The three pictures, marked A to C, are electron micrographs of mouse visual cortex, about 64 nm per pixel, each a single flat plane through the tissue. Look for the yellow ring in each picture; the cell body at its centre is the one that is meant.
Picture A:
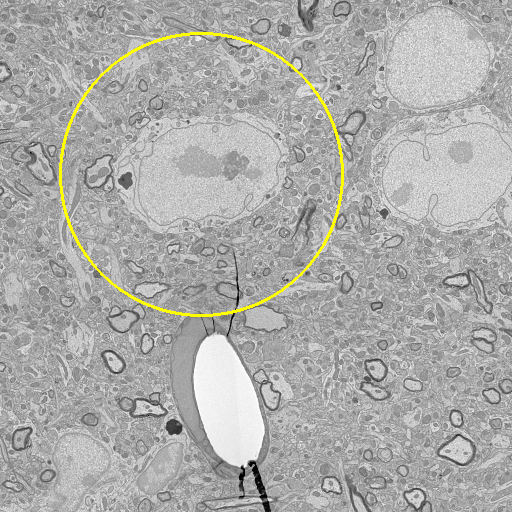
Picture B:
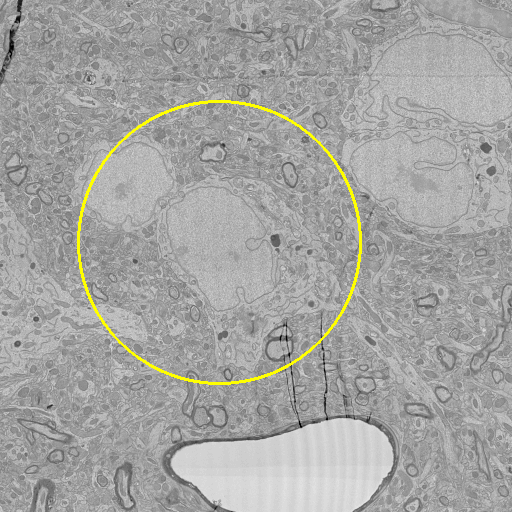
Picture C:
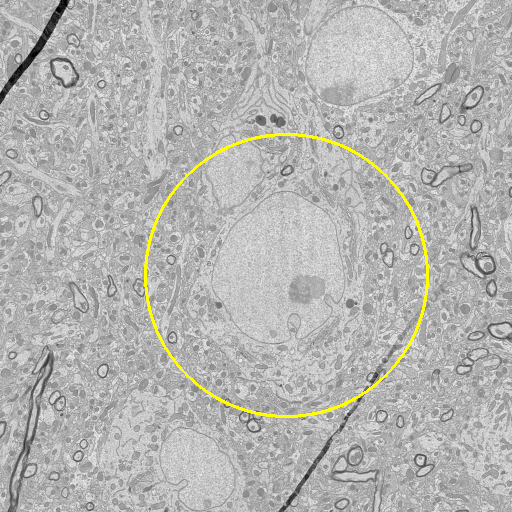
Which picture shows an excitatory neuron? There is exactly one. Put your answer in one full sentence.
The excitatory neuron is the one in picture C.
